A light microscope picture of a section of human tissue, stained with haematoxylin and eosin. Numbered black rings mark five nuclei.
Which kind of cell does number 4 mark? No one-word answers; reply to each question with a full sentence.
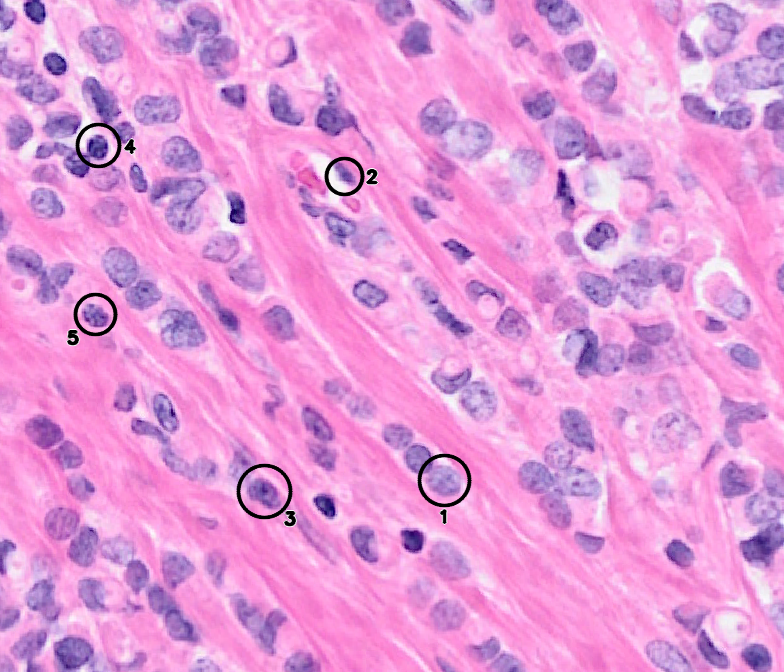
Cell number 4 in this section is a lymphocyte.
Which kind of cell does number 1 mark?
The correct label for cell 1 is a carcinoma cell.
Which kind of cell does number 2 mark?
The numbered cell 2 is identified here as an endothelial cell.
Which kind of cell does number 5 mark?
The cell that carries the label 5 is a lymphocyte.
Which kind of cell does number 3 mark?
The cell marked with the number 3 is a lymphocyte.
